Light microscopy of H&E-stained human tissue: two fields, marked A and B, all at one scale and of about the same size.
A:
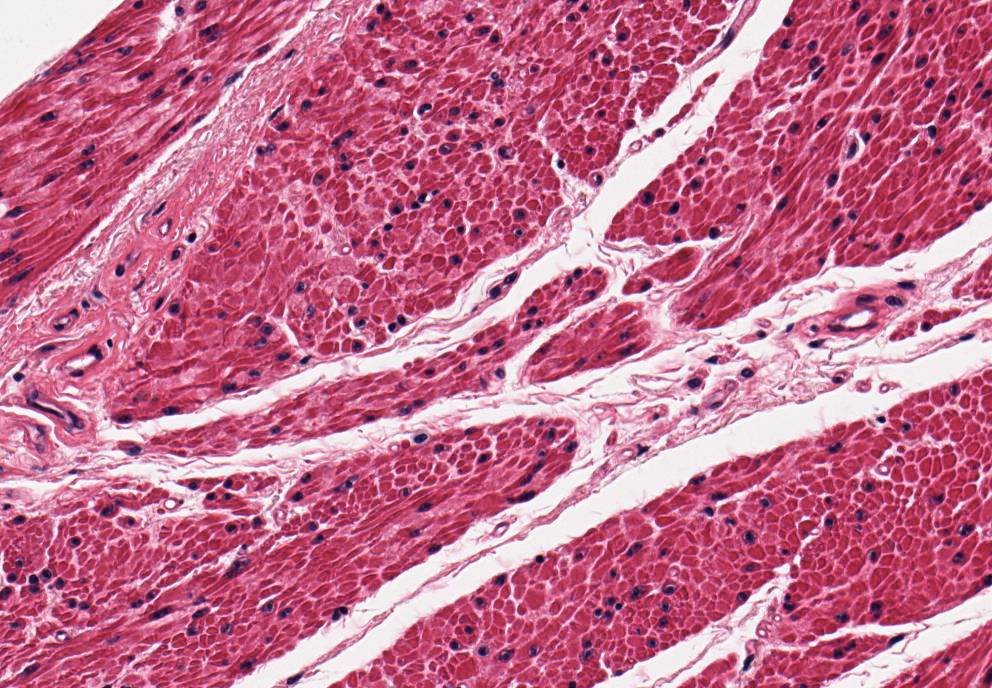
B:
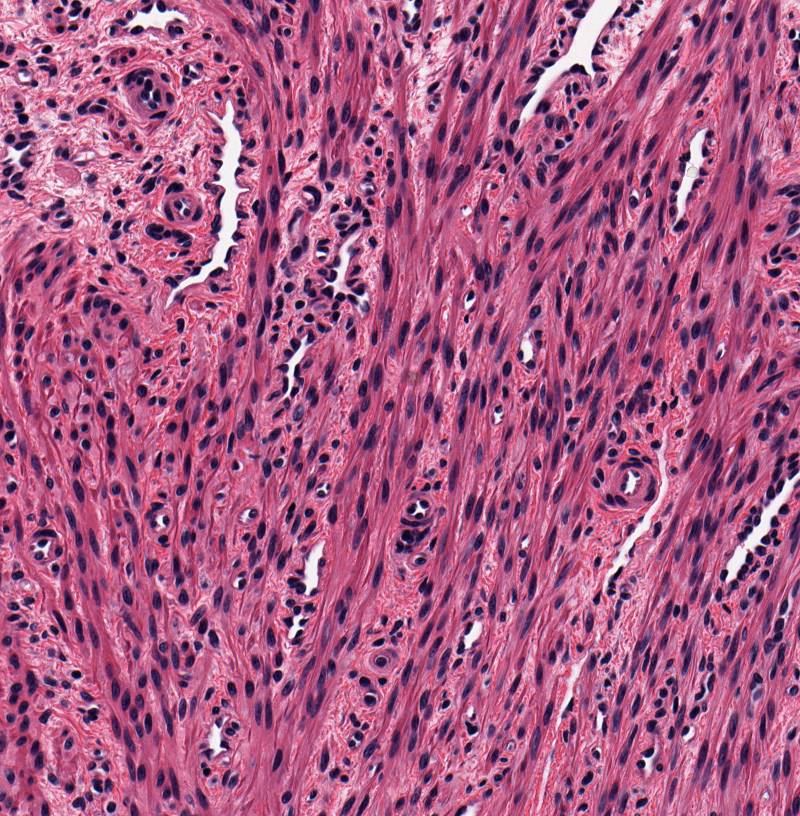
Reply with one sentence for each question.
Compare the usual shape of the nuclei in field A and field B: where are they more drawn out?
It is field B whose nuclei are the more elongated.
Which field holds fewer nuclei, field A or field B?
Field A holds fewer nuclei than field B.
